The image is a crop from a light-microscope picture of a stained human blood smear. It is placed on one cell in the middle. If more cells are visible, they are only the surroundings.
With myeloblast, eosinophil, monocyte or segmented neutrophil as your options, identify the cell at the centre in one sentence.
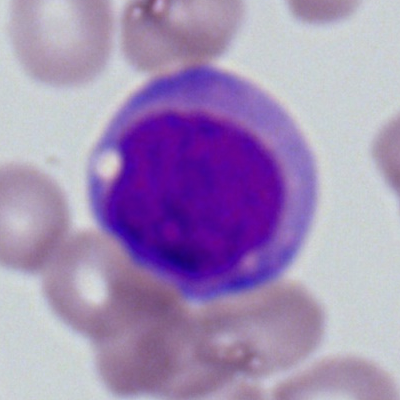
This crop's central cell is a myeloblast.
